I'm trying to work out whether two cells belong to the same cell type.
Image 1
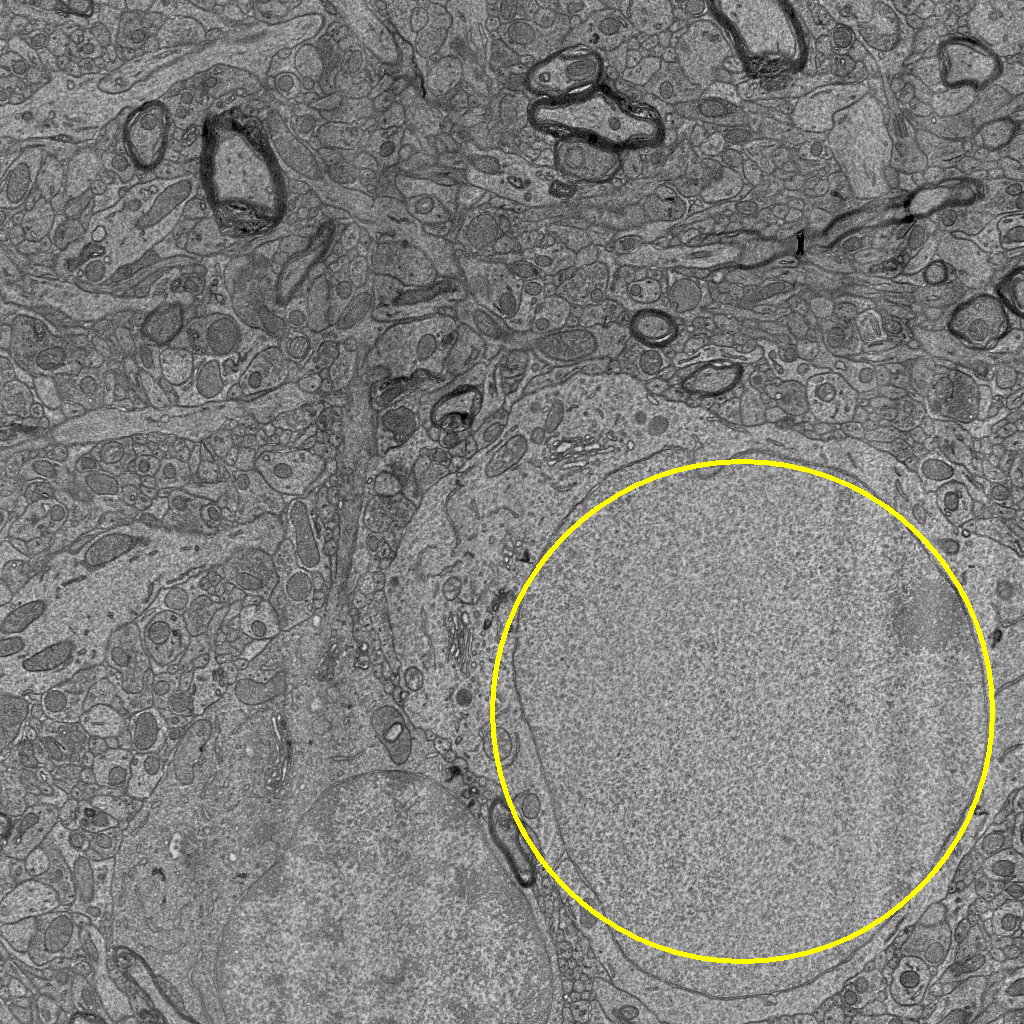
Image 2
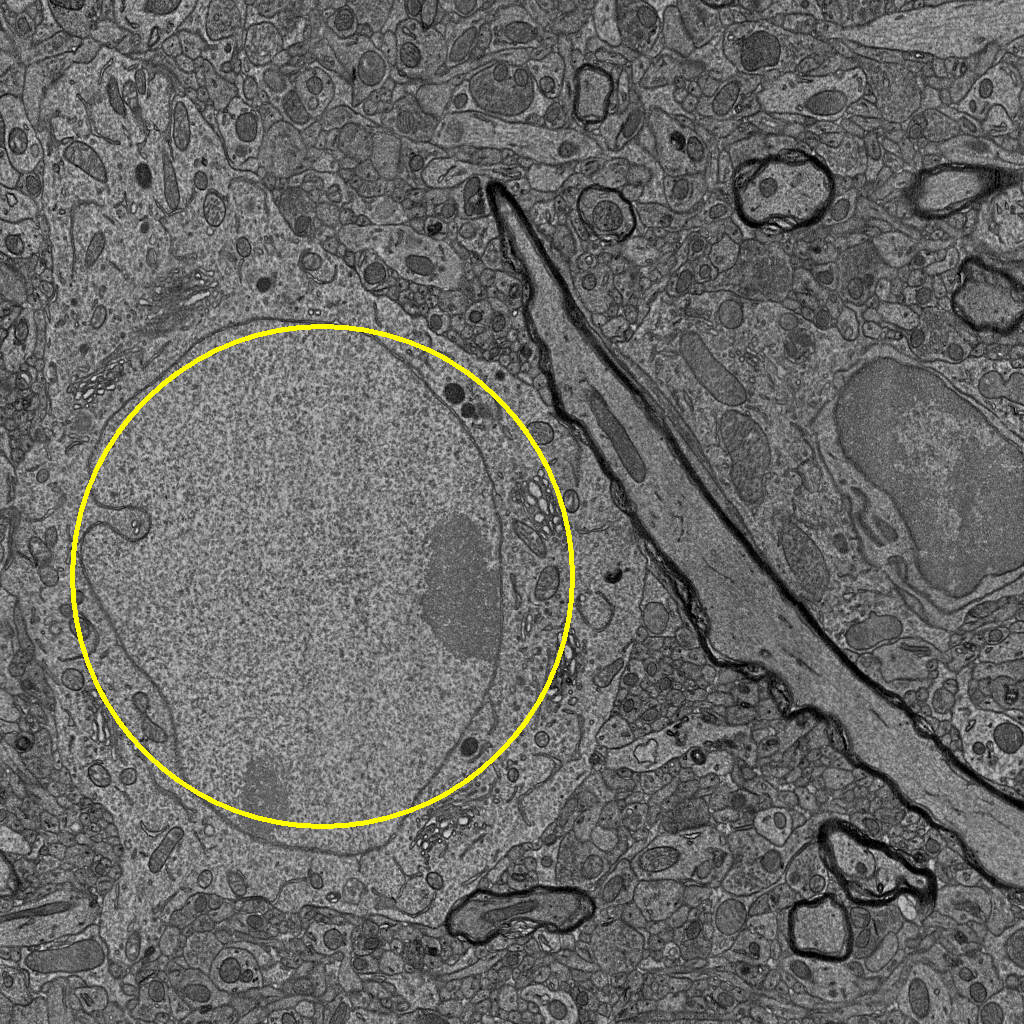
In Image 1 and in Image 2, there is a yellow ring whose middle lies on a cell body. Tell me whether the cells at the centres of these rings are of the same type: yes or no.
yes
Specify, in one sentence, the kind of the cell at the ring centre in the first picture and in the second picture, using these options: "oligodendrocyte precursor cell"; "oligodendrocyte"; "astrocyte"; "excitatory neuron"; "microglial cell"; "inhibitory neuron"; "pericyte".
Each cell at the centre of a ring is an excitatory neuron.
